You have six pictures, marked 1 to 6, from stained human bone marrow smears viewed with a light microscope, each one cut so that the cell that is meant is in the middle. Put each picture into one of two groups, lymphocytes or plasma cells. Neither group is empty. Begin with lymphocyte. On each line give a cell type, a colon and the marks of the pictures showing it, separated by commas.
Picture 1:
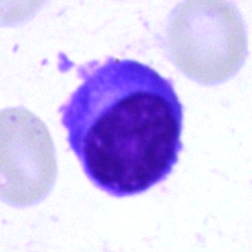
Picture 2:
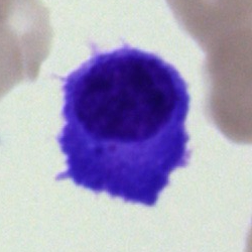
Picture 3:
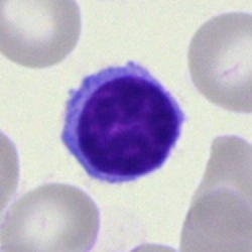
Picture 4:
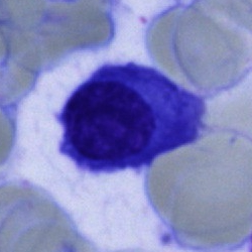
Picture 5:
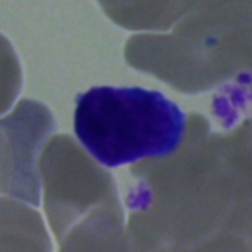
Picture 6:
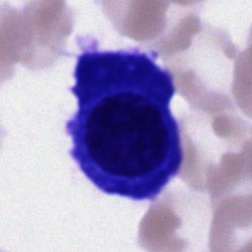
lymphocyte: 3, 5
plasma cell: 1, 2, 4, 6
